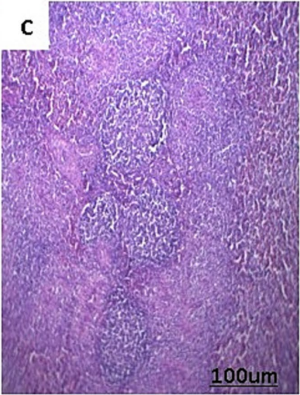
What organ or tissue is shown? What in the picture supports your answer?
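Rounded, darker purple nodules of densely packed small cells.
Answer: spleen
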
